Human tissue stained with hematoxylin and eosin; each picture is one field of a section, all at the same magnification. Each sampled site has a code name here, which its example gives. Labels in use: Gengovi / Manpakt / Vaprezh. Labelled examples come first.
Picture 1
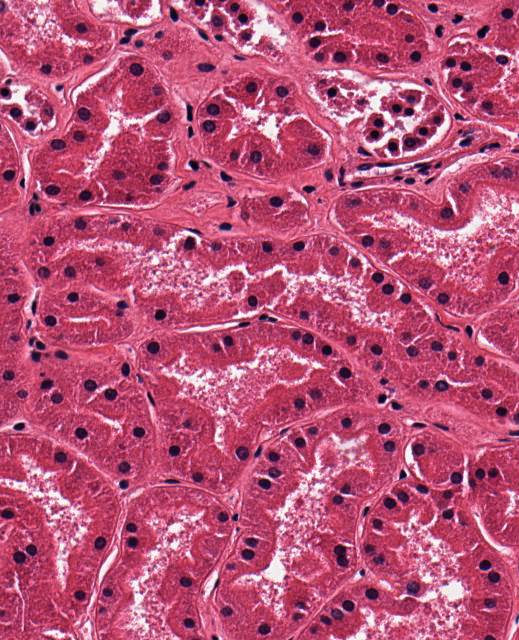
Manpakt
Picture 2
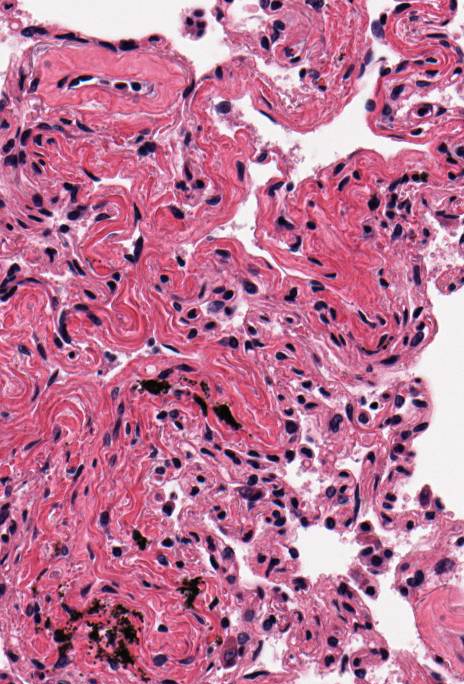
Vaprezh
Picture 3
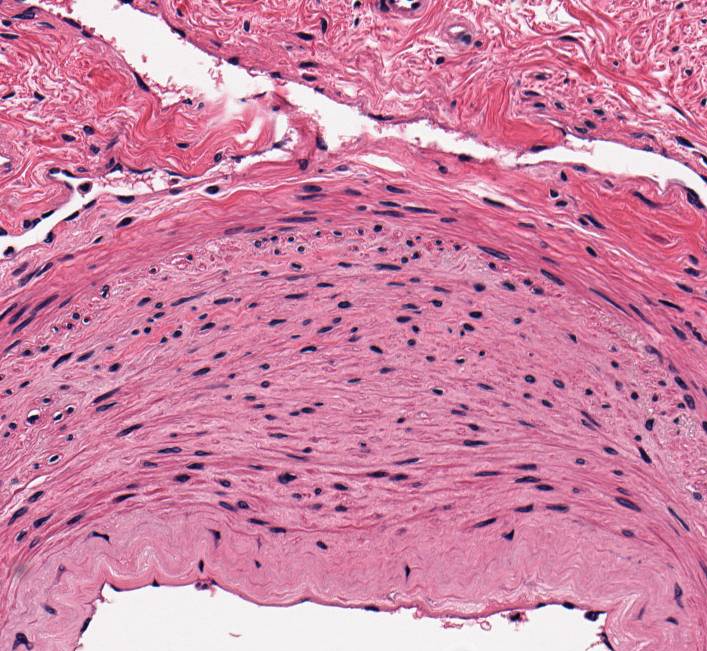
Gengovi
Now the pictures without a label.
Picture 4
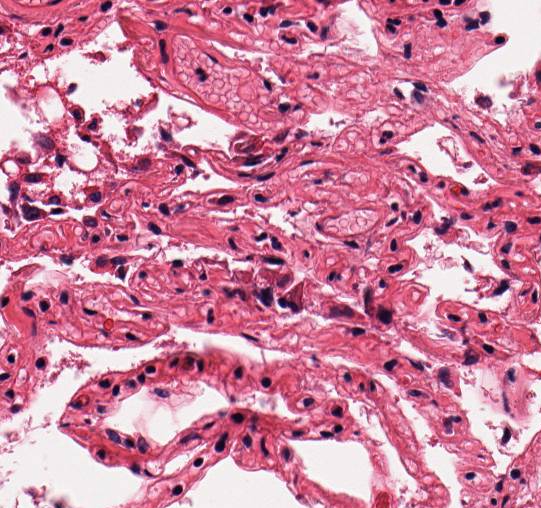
Vaprezh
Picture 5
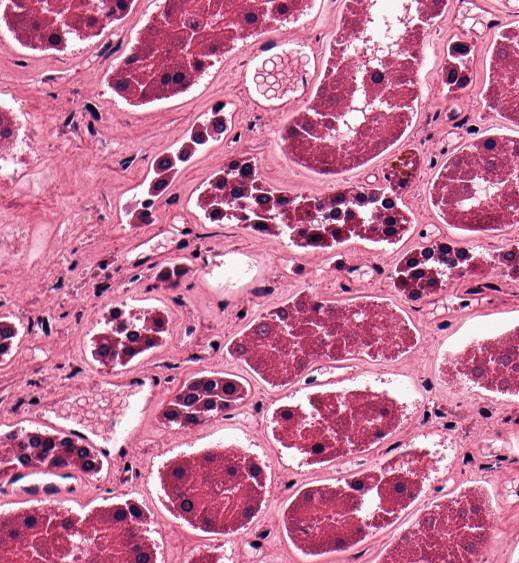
Manpakt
